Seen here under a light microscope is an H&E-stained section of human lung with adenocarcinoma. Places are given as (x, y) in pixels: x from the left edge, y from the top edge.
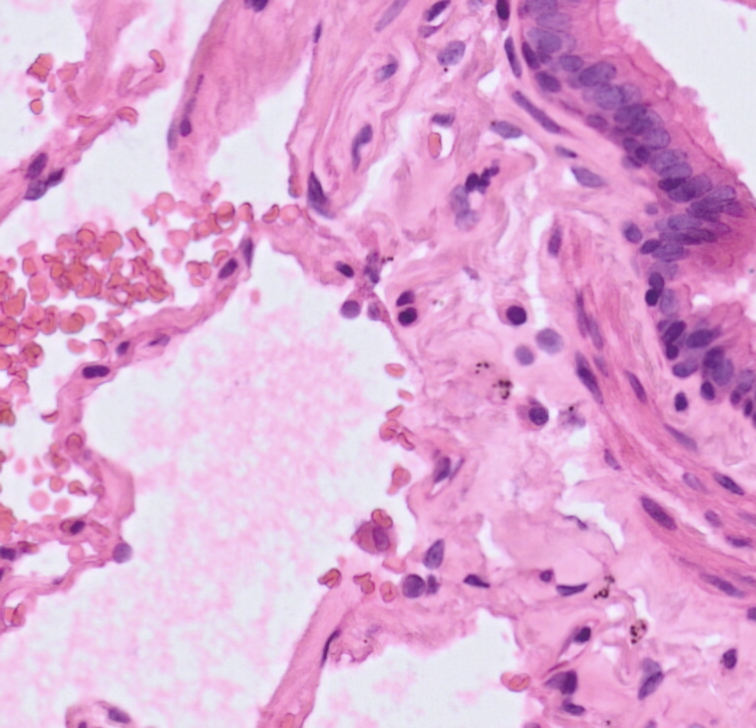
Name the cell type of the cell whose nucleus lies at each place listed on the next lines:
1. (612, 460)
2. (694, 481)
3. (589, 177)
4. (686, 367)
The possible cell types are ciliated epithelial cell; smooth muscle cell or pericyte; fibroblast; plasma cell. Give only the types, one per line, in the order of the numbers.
smooth muscle cell or pericyte
smooth muscle cell or pericyte
fibroblast
ciliated epithelial cell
